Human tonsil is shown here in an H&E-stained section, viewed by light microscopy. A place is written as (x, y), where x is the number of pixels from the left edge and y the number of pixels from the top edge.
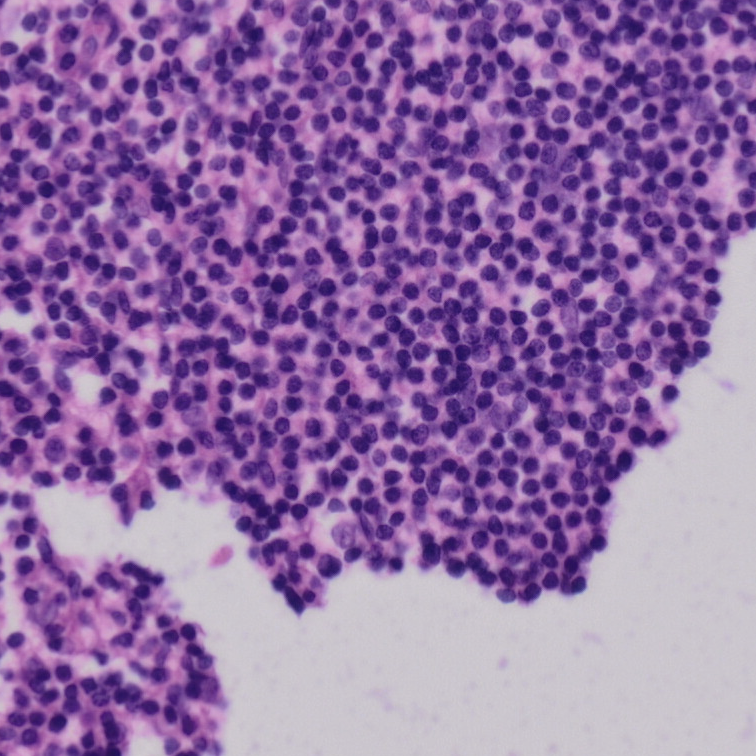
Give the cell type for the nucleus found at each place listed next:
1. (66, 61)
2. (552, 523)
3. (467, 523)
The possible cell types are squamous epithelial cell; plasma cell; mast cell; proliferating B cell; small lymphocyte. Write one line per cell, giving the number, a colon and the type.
1: plasma cell
2: small lymphocyte
3: small lymphocyte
